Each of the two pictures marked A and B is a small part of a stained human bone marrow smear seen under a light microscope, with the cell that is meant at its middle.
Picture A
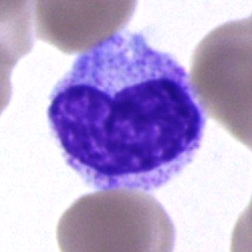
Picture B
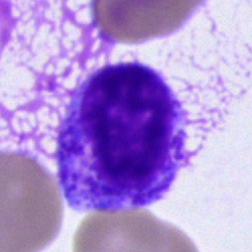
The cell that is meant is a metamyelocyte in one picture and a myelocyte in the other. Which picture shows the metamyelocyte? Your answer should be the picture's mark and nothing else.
A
